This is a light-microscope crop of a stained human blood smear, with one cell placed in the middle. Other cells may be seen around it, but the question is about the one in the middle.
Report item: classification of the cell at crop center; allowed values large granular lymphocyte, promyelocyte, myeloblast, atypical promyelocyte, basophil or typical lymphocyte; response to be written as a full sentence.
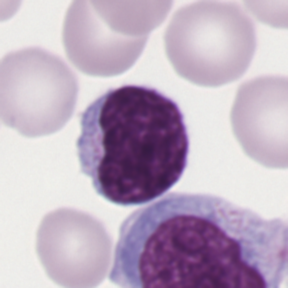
The cell the crop is centered on is a typical lymphocyte.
